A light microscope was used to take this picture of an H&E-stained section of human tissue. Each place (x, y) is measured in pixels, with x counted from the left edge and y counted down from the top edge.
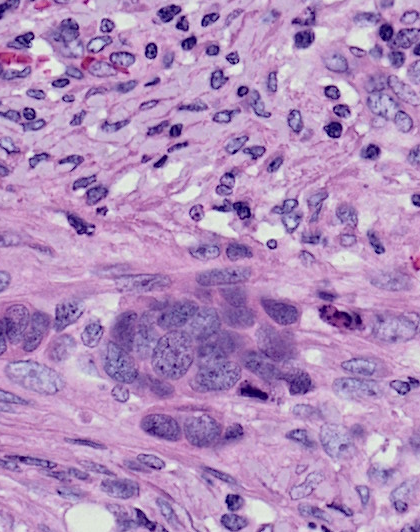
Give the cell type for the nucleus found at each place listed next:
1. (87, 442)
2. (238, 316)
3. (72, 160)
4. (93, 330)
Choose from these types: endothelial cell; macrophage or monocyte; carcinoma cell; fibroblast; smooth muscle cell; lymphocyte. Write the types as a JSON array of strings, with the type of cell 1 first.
["fibroblast", "carcinoma cell", "fibroblast", "macrophage or monocyte"]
